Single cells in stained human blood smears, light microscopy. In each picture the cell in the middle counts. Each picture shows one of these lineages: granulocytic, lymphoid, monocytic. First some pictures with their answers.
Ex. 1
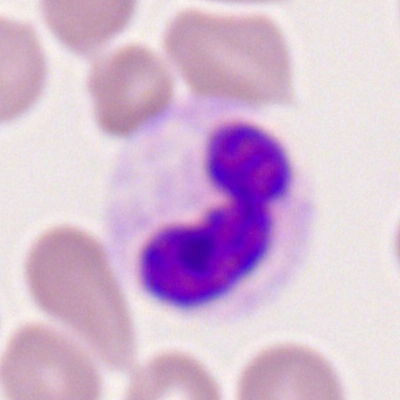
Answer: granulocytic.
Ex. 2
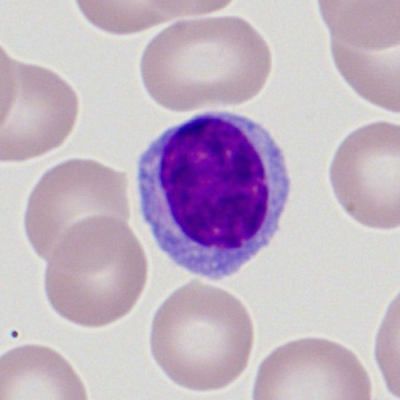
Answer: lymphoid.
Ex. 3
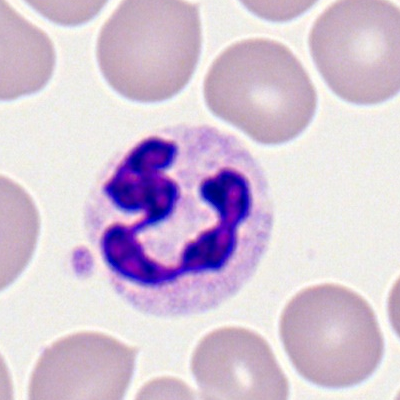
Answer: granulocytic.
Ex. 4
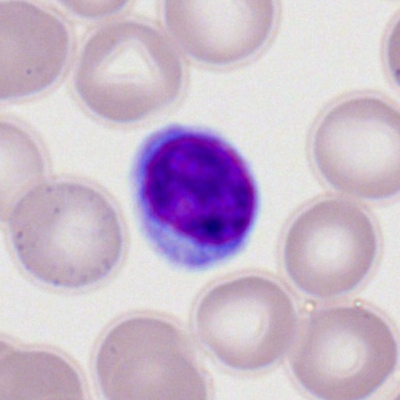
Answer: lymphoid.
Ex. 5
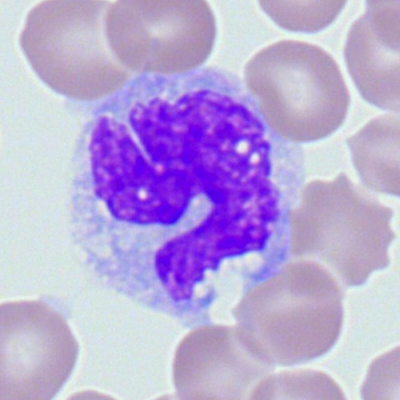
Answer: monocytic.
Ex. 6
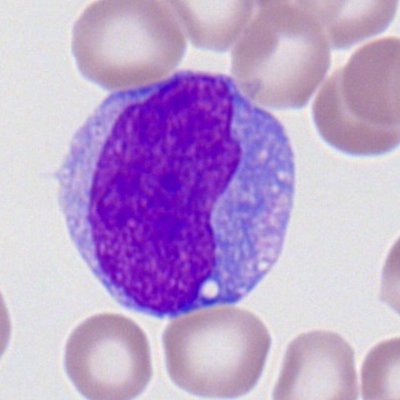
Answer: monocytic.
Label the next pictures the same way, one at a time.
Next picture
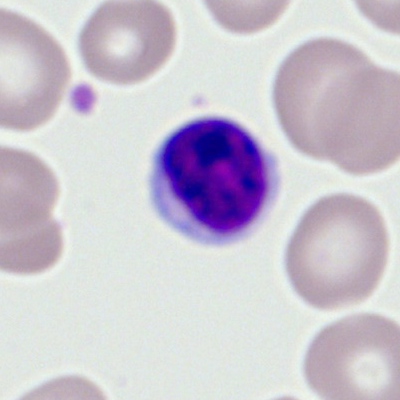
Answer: lymphoid.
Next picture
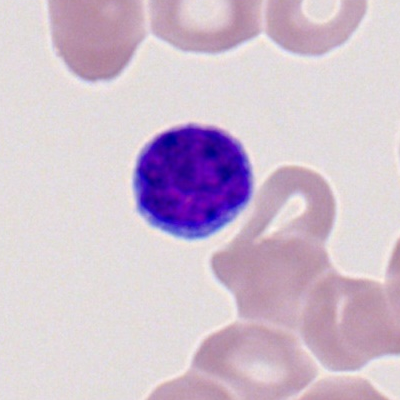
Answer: lymphoid.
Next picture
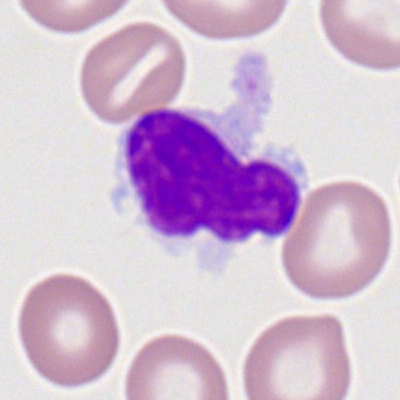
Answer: lymphoid.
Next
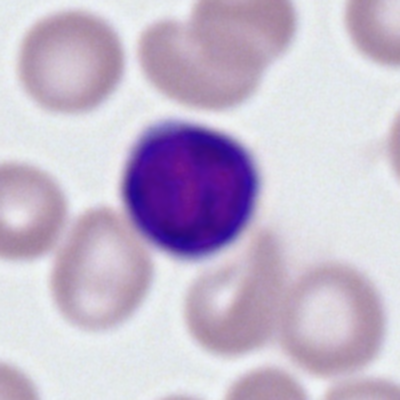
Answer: lymphoid.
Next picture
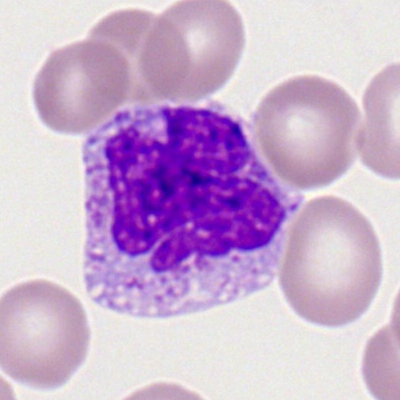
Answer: monocytic.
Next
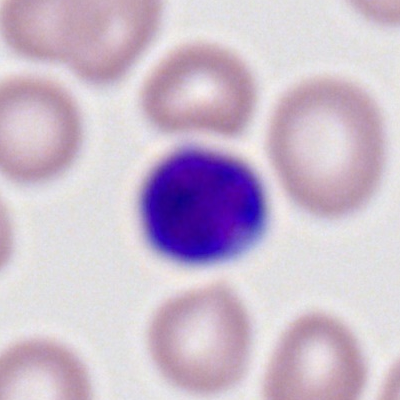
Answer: lymphoid.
